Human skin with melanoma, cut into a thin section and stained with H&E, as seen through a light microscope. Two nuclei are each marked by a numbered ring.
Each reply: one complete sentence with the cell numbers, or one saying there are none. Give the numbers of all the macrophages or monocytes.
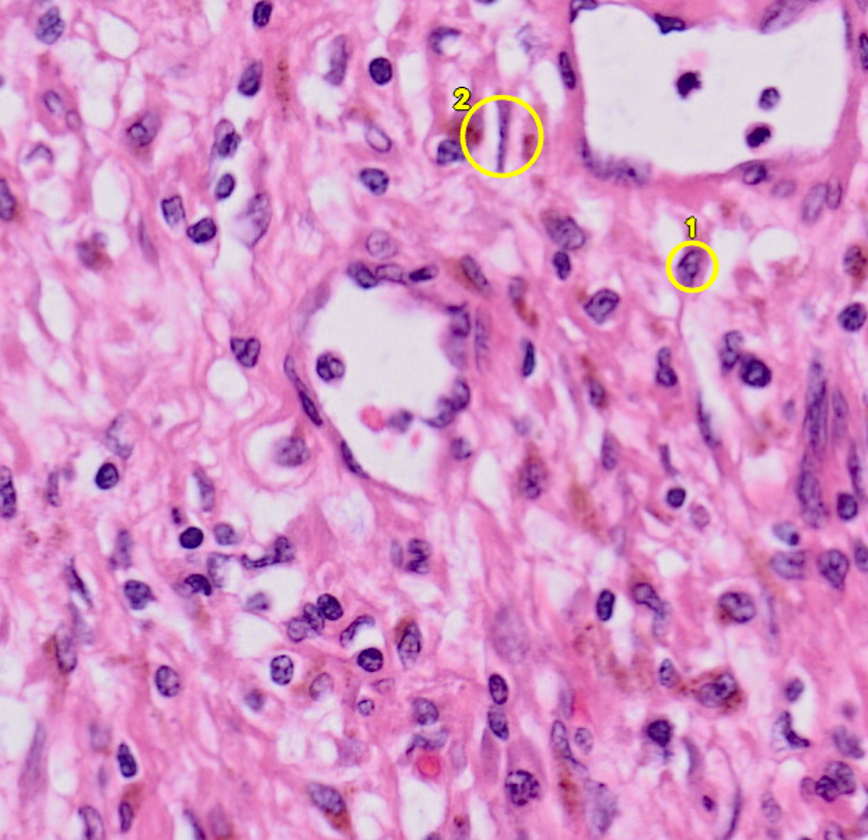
Cell 1 is a macrophage or monocyte, and it is the only numbered cell that is.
